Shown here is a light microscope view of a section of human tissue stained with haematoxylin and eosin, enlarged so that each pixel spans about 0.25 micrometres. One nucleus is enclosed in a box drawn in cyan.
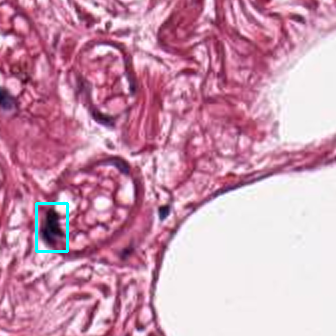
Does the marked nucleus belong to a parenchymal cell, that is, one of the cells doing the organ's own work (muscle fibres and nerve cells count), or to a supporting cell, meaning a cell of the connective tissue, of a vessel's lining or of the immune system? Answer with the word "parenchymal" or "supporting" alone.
supporting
